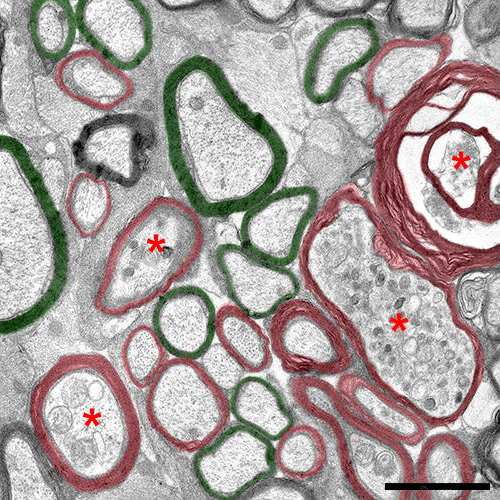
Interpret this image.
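Some sheaths are dense and even, while others look looser and layered, and at upper right one axon is wrapped in an unusually thick sheath with separated lamellae. A few axons marked by asterisks are swollen and packed with small vesicles and membrane-bound organelles instead of the usual pale axoplasm.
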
